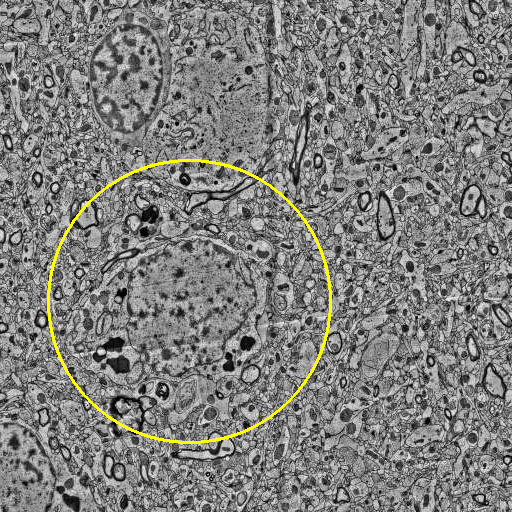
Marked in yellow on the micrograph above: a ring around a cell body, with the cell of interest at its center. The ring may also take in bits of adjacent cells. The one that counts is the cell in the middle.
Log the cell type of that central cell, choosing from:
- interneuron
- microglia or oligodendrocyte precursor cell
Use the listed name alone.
interneuron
